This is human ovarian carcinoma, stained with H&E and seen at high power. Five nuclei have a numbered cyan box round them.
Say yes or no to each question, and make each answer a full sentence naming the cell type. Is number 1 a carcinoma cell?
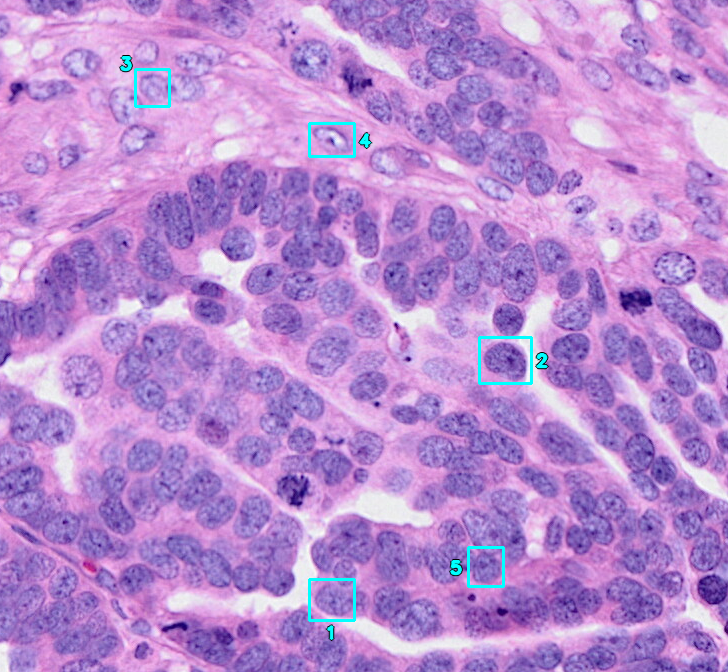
Yes, the cell that bears the number 1 is a carcinoma cell.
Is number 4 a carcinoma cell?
No, the right label for cell 4 is a fibroblast rather than a carcinoma cell.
